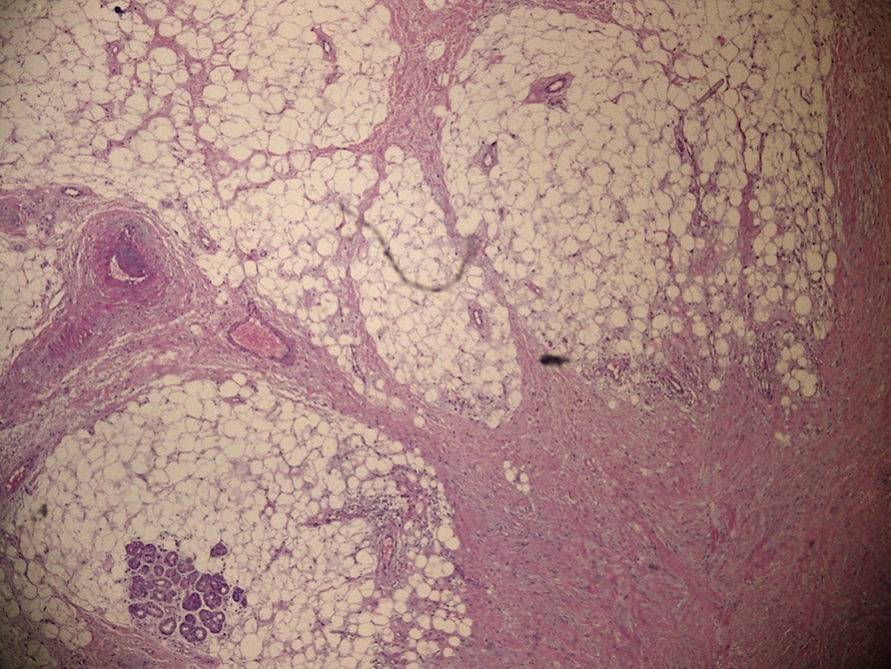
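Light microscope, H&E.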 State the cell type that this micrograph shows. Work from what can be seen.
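Large lobules of empty-looking round vacuoles fill most of the field.
Hence: mature adipocytes.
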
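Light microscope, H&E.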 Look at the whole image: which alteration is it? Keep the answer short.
proliferation of the neighboring fibrous tissue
